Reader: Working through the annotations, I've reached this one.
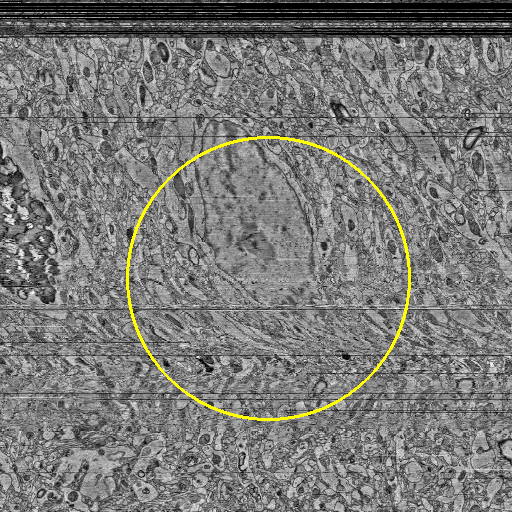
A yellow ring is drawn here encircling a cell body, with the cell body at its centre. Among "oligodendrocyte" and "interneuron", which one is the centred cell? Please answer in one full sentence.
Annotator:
The cell body at the centre of the yellow ring in this image belongs to an interneuron.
